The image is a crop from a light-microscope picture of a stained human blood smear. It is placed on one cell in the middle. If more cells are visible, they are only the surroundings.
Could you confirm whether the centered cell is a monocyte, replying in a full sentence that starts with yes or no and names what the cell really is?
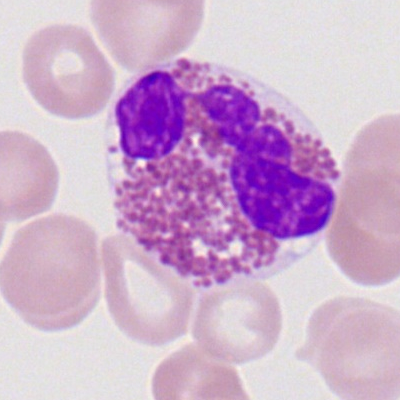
No, what lies at the heart of the crop is an eosinophil, not a monocyte.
